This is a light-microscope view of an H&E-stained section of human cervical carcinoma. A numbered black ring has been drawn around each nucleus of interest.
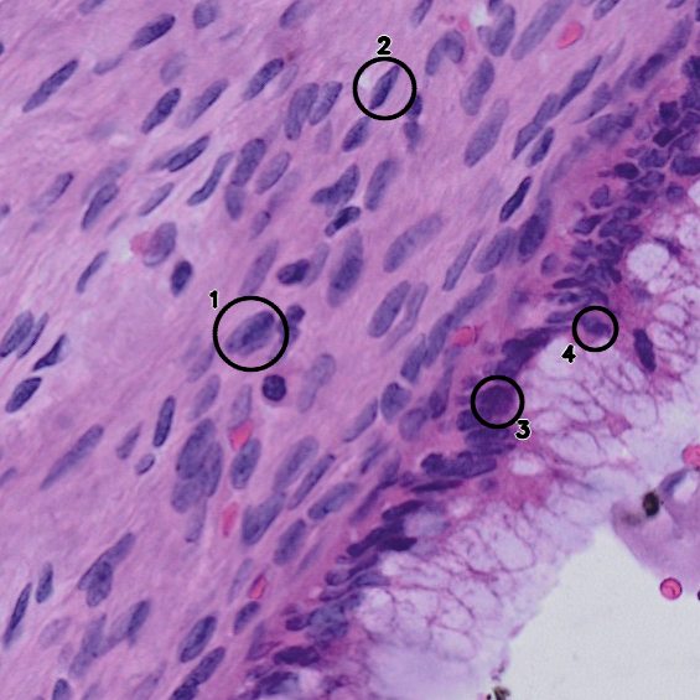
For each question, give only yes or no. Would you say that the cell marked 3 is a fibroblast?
no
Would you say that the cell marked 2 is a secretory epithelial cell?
no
